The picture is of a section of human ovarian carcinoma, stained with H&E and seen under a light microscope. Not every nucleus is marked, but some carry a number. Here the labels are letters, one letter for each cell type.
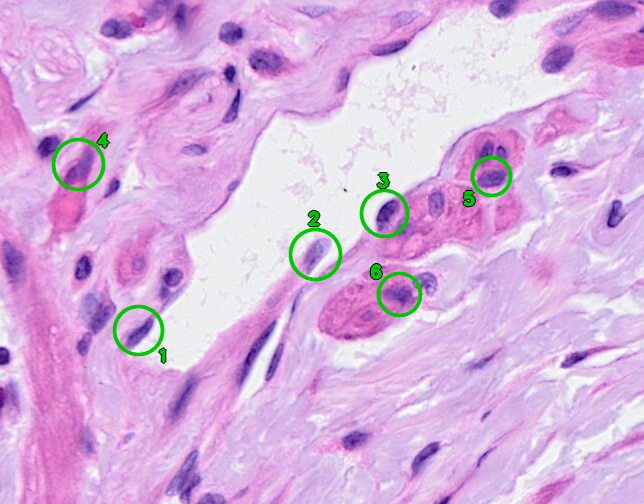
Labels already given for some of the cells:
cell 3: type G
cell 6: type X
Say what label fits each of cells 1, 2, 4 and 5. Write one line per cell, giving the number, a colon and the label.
1: type G
2: type G
4: type X
5: type X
